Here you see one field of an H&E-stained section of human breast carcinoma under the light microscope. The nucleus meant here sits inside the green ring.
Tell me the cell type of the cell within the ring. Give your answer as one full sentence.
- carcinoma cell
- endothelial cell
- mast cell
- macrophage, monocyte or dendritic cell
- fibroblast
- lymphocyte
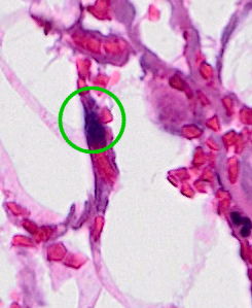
In this tissue section, the cell within the ring is to be classed as an endothelial cell.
